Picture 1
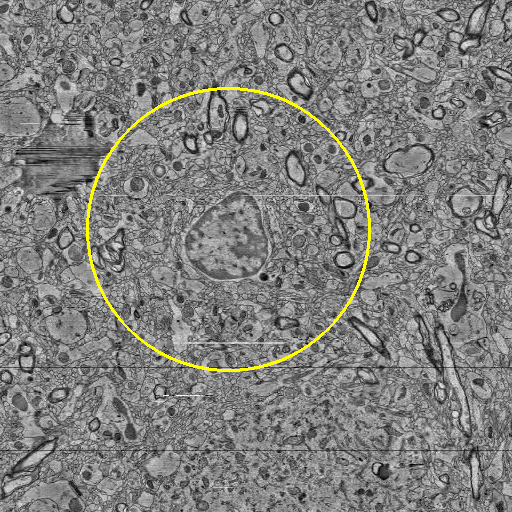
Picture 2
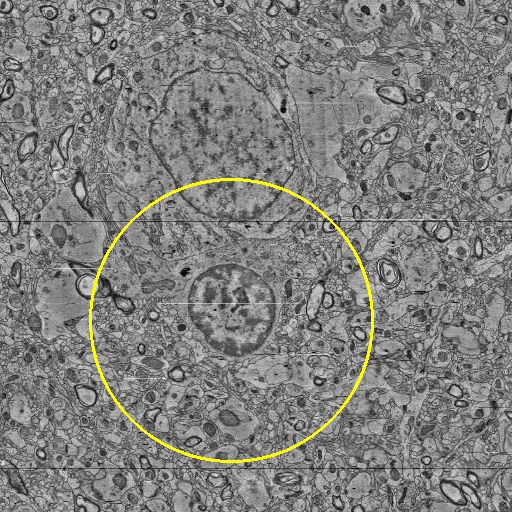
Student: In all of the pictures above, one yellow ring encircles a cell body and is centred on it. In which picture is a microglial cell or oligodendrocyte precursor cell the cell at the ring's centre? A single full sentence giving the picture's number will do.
Picture number 1 has the wanted cell right at the centre of its ring.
